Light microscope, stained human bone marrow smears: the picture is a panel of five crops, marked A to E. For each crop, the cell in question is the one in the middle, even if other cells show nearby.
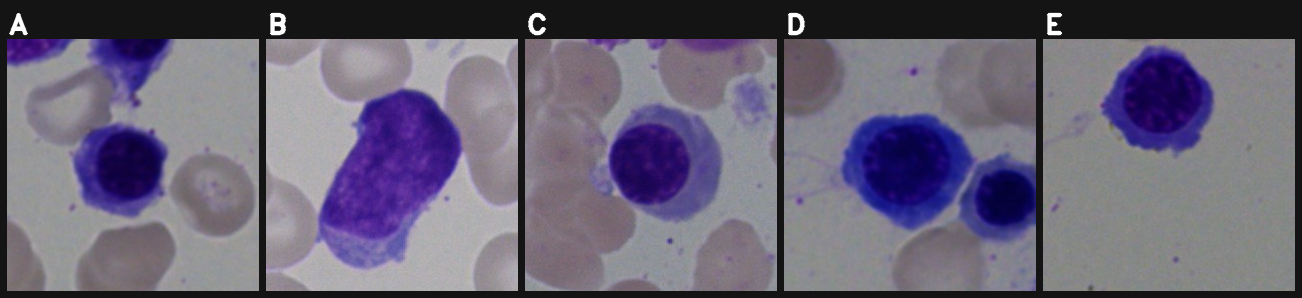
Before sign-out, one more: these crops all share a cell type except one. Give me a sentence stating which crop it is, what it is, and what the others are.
For this set, crop B is a blast, and all the rest are erythroblasts.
